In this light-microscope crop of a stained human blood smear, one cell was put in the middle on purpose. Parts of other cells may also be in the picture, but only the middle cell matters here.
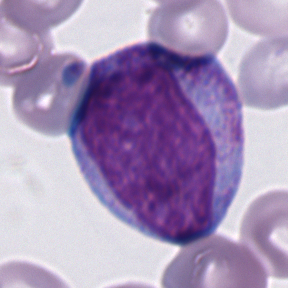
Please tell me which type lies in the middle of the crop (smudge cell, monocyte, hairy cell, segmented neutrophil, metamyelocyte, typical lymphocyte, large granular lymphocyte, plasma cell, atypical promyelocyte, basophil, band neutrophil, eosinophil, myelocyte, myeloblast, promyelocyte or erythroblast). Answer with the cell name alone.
promyelocyte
